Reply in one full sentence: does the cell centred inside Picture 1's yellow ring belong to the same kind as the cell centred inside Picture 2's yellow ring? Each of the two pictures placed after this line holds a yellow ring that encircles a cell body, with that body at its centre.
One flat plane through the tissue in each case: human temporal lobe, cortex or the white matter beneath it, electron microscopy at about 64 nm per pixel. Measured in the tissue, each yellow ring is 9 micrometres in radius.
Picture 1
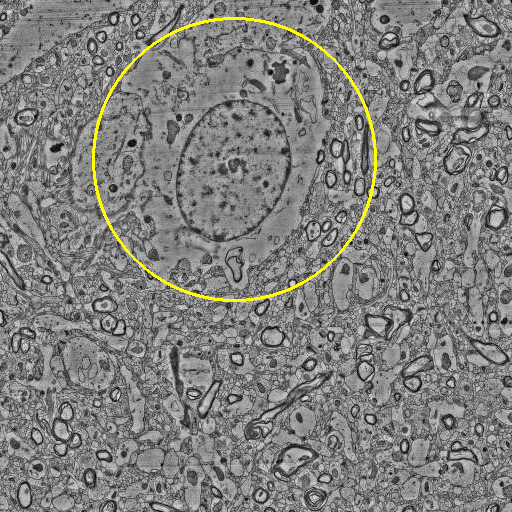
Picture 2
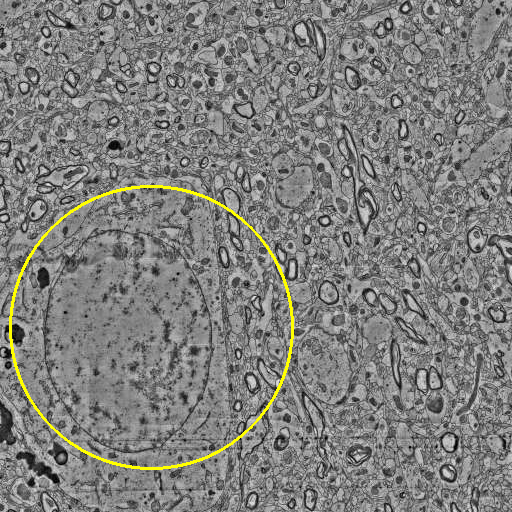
No, the ring-centred cells in Picture 1 and Picture 2 are of two separate kinds.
